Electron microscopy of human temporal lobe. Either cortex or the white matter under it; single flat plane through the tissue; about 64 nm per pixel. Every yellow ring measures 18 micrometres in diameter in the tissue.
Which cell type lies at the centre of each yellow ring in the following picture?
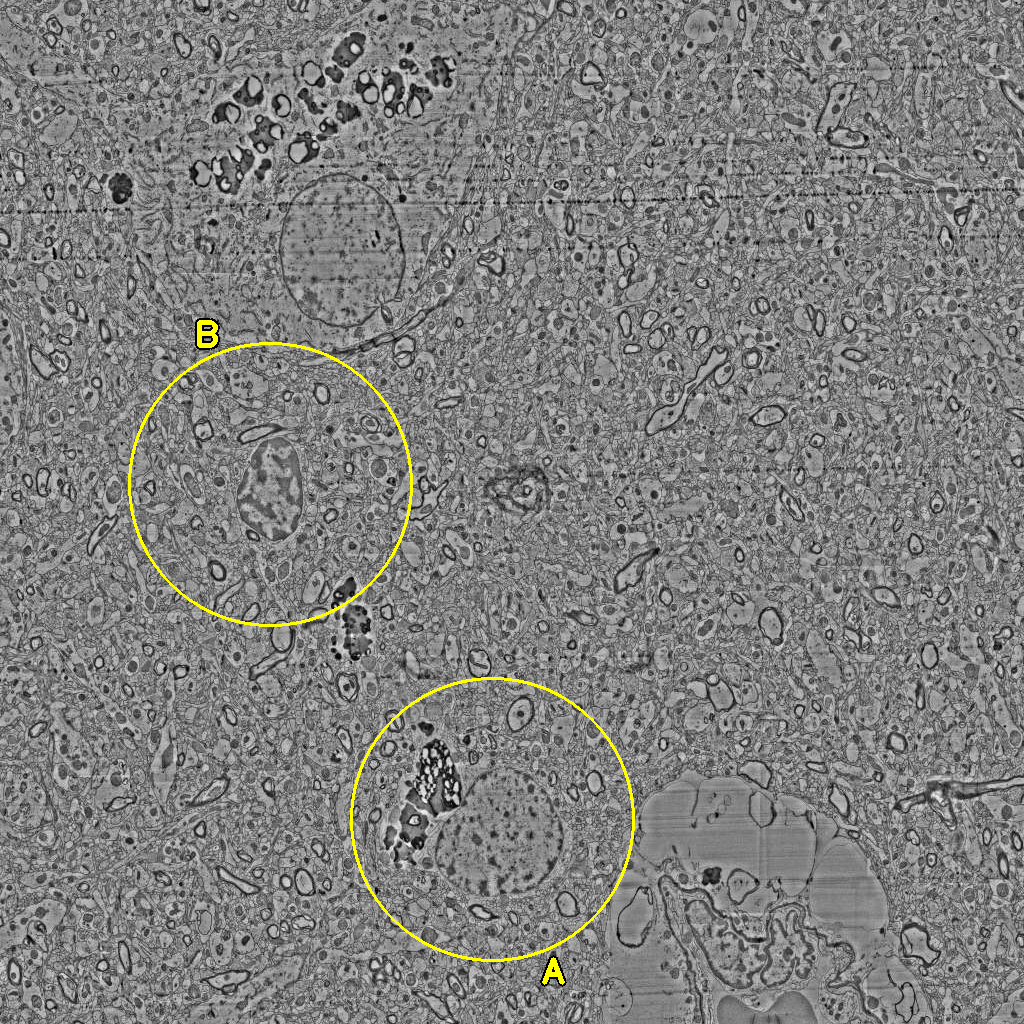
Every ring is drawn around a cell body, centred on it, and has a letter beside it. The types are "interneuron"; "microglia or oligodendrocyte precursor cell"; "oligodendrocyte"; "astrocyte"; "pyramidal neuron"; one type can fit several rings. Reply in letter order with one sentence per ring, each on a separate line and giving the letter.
Ring A marks the cell body of an astrocyte.
Ring B marks the cell body of a microglial cell or oligodendrocyte precursor cell.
